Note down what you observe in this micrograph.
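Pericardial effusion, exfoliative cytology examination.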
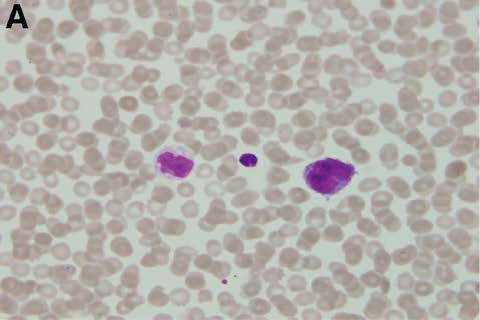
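The most conspicuous is a large cell with a purple nucleus and a rim of bluish cytoplasm, much bigger than the red cells around it. Near it lie a small cell with a compact, dark round nucleus and a cell with pinker, granular-looking contents.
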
